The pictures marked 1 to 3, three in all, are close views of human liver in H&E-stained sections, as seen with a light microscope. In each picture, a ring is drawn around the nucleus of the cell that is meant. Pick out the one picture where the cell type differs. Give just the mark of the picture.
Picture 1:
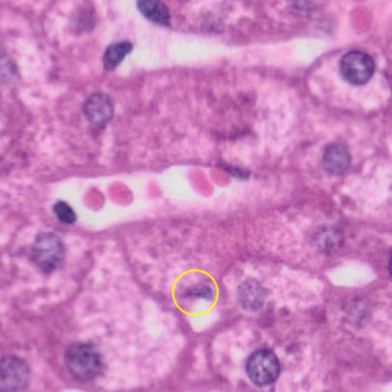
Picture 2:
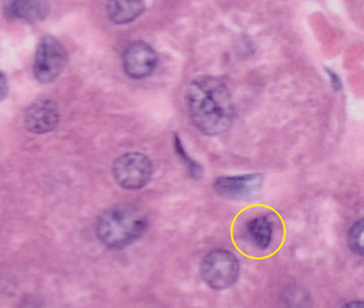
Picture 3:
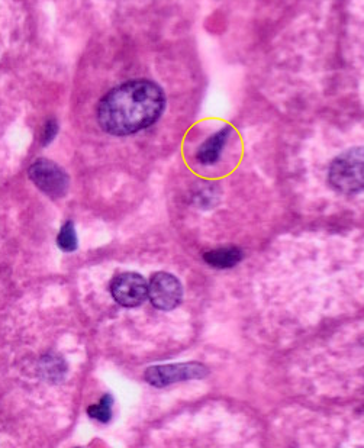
1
